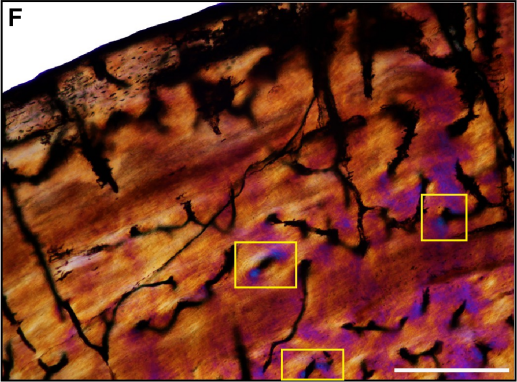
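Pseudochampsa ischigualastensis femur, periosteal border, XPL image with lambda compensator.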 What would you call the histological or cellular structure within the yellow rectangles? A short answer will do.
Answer: Longitudinal primary osteons.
